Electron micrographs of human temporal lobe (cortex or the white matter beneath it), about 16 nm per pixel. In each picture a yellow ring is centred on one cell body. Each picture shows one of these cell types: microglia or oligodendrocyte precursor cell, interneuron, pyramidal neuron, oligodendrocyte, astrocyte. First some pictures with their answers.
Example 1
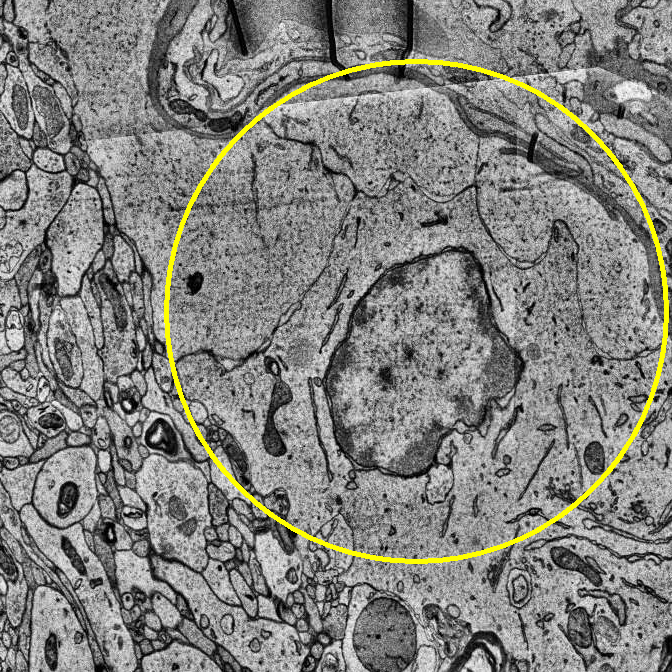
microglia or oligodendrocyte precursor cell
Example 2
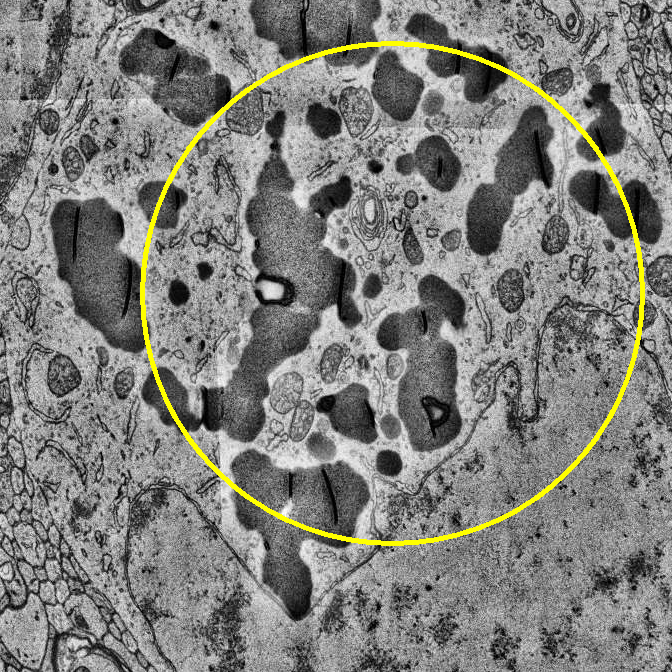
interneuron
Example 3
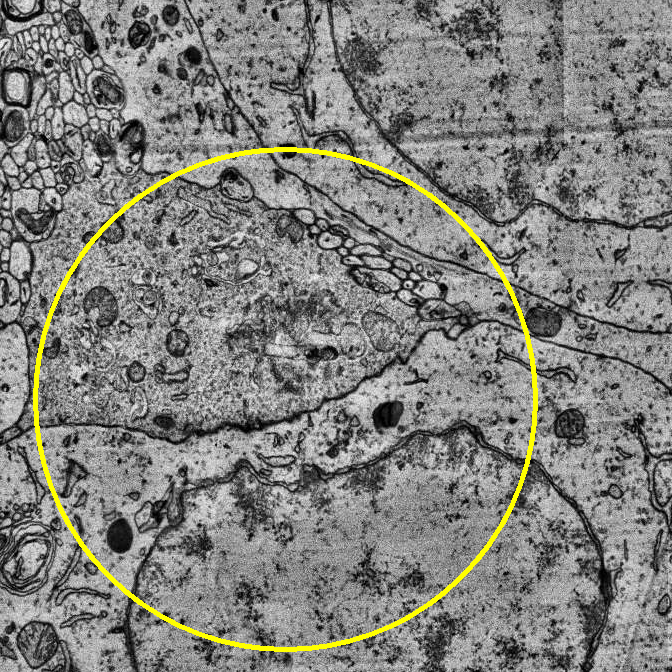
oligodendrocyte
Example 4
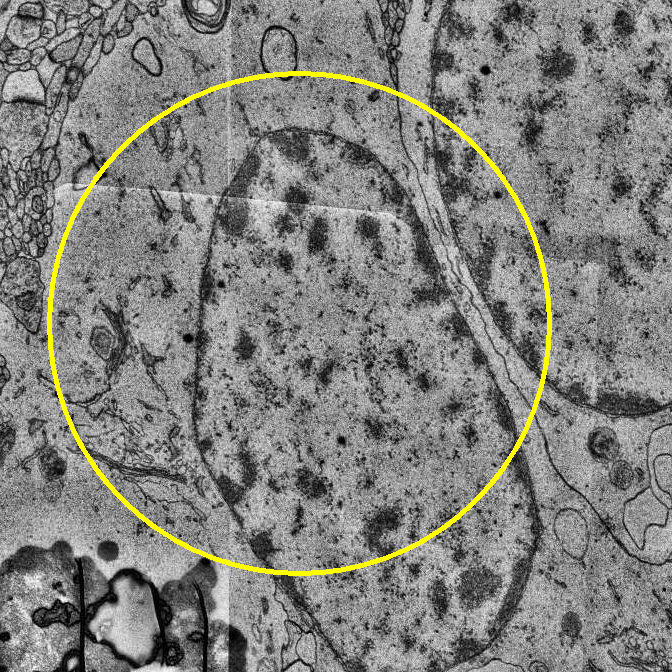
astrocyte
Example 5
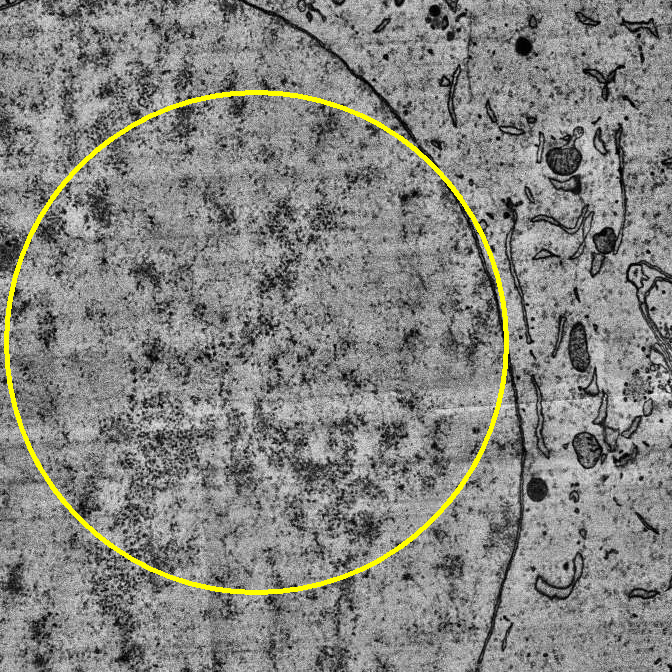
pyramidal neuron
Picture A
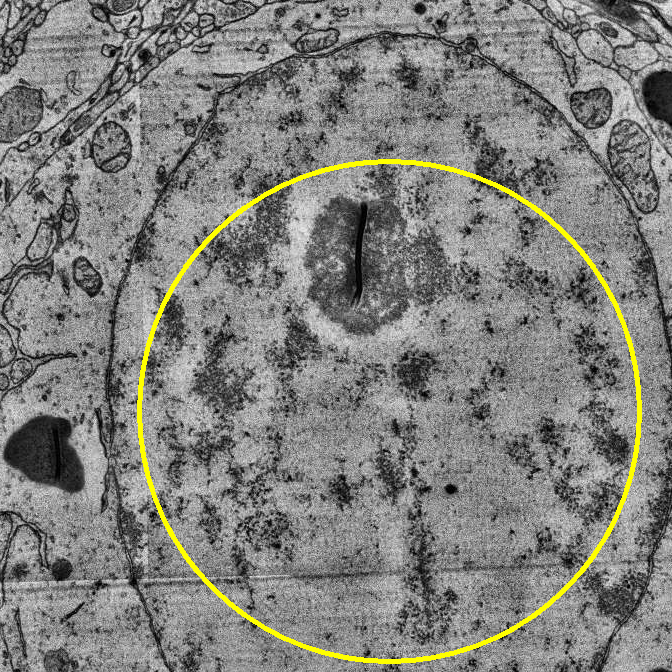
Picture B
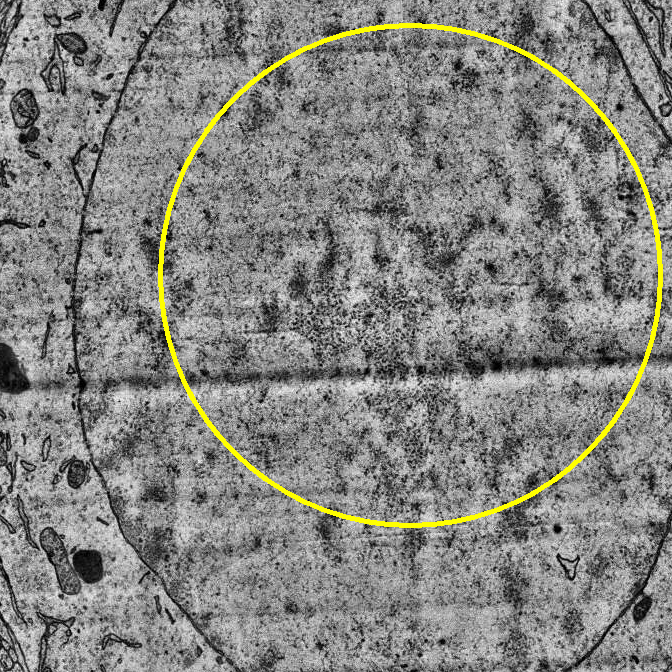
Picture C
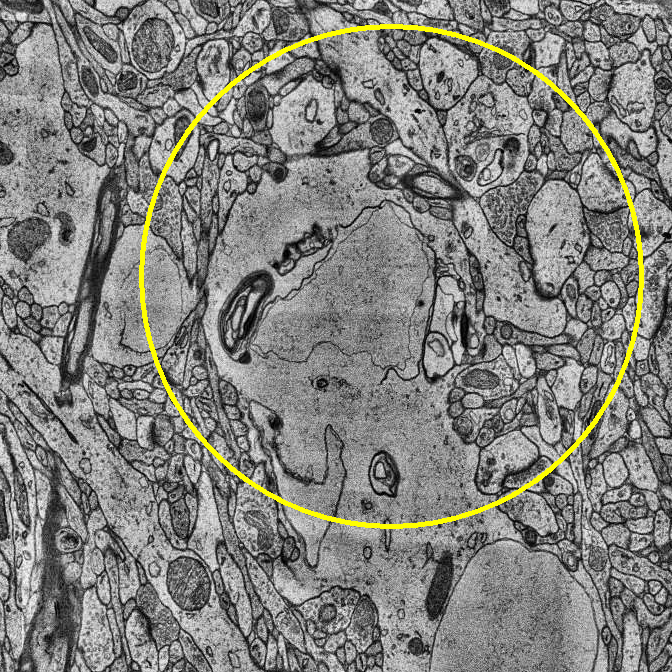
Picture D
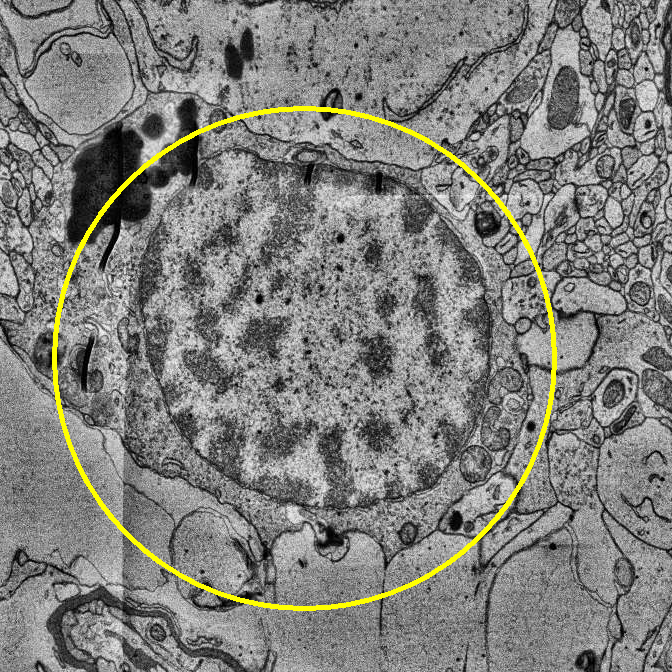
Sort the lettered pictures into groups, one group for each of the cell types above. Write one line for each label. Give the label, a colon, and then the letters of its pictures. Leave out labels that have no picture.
pyramidal neuron: A, B
oligodendrocyte: D
astrocyte: C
